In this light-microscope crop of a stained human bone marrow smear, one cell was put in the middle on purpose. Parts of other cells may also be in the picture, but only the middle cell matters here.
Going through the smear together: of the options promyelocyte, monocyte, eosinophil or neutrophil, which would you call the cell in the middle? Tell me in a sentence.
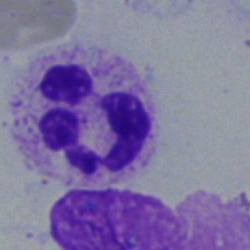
Present in the middle of the crop is a neutrophil.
